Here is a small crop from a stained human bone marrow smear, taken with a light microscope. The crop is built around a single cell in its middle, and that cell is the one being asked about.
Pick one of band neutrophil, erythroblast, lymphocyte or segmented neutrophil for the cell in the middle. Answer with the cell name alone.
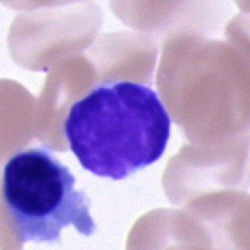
lymphocyte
